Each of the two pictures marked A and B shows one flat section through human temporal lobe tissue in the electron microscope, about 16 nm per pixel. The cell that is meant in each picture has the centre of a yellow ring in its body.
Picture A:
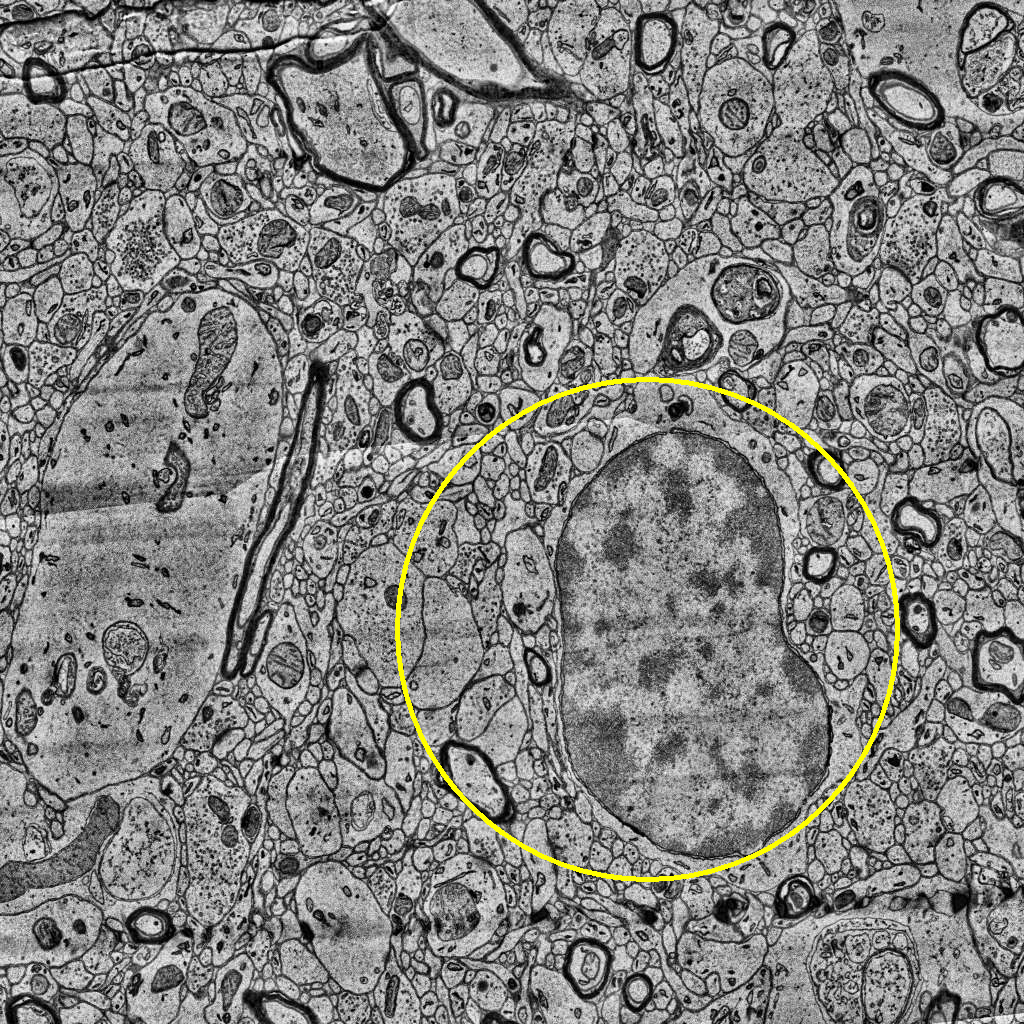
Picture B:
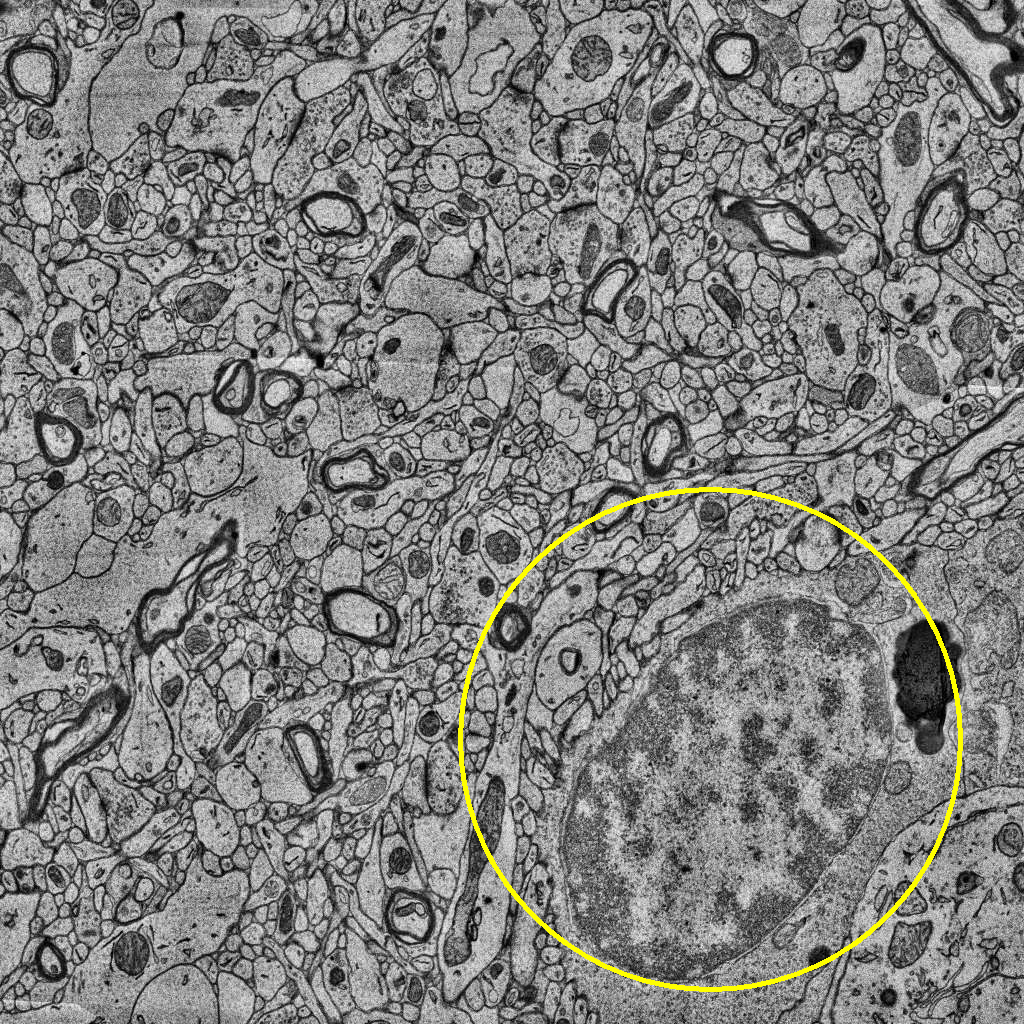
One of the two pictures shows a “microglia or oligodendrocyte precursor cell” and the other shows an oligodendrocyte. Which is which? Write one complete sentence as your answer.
The cell in picture A is a “microglia or oligodendrocyte precursor cell”, and the one in picture B is an oligodendrocyte.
